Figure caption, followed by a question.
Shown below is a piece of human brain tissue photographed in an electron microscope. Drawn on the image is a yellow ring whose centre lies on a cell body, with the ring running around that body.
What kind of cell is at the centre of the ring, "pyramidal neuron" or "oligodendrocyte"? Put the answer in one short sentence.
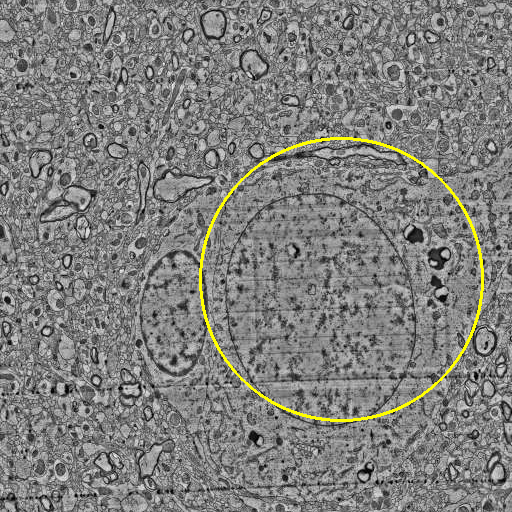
The ring marks the cell body of a pyramidal neuron.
